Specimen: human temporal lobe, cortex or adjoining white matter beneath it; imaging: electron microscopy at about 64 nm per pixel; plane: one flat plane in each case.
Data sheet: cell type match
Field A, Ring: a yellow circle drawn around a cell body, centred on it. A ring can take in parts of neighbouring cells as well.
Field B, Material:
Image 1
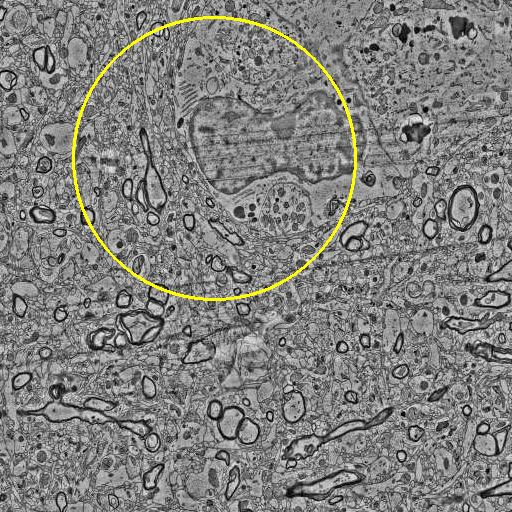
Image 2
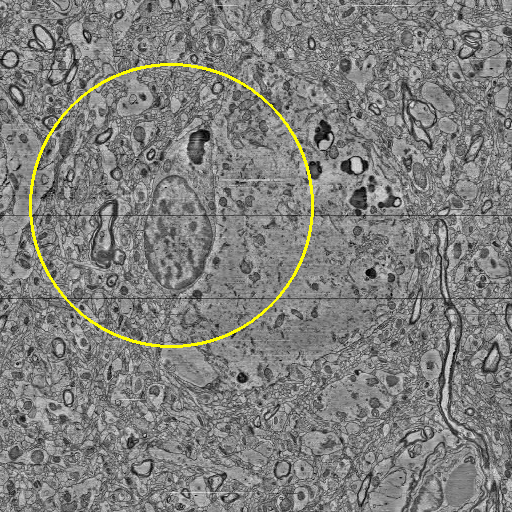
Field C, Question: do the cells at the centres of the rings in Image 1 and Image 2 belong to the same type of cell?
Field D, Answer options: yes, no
no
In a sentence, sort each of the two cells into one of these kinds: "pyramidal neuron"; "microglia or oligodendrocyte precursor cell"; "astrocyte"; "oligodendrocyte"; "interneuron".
The first of the two cells is a microglial cell or oligodendrocyte precursor cell, and the second is an oligodendrocyte.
